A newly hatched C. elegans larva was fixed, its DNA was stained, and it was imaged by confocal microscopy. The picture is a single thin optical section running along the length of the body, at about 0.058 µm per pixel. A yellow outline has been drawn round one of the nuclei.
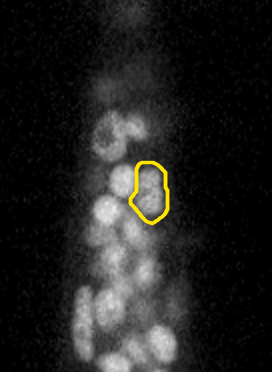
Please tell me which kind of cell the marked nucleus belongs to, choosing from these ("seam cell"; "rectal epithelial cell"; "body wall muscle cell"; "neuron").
body wall muscle cell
